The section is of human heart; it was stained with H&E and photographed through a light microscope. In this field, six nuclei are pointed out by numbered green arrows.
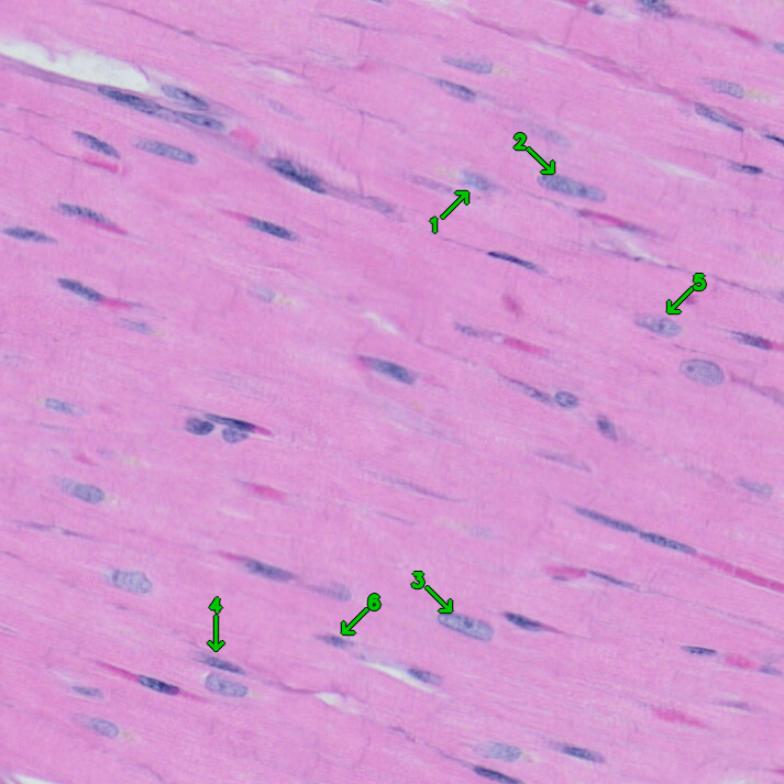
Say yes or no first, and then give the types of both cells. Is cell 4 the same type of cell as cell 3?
No, cell number 4 is an endothelial cell and cell number 3 is a cardiomyocyte.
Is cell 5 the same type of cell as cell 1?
Yes, cells 5 and 1 both belong to the category of cardiomyocytes.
